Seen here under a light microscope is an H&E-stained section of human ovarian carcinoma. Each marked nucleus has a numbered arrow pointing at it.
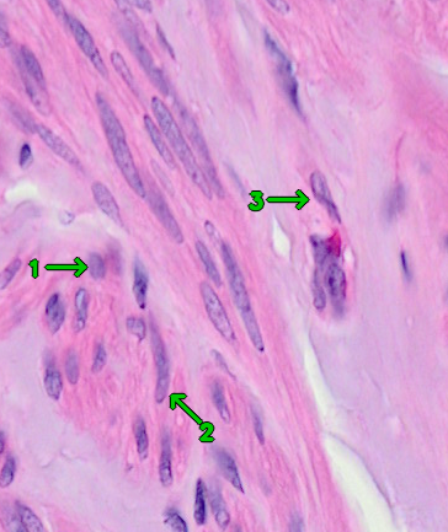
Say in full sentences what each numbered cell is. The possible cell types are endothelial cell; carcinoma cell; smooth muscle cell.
Cells 1 and 2 are smooth muscle cells. Cell 3 is an endothelial cell.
